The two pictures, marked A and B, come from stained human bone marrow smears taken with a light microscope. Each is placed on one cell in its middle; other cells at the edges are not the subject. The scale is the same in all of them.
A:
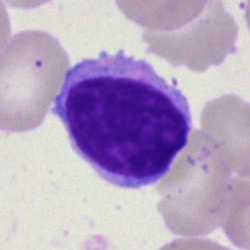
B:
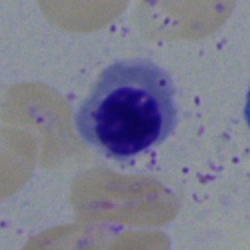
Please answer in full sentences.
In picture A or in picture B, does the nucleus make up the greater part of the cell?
Of the two, the nucleus in picture A makes up the greater part of its cell.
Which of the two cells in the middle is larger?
The cell in picture A is larger, with about 2 times the area of the one in picture B.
